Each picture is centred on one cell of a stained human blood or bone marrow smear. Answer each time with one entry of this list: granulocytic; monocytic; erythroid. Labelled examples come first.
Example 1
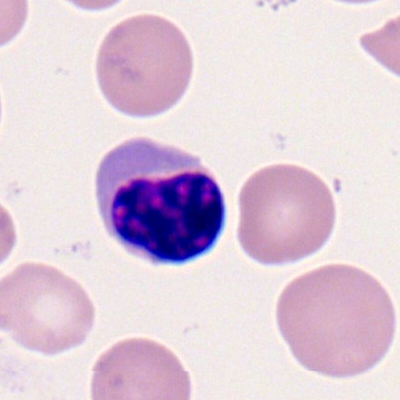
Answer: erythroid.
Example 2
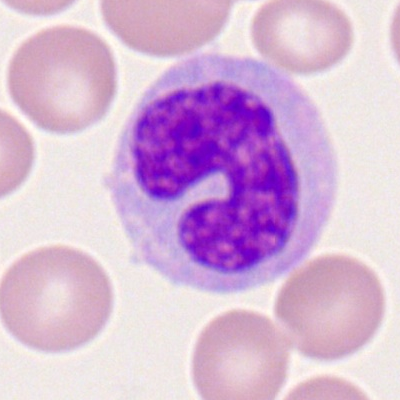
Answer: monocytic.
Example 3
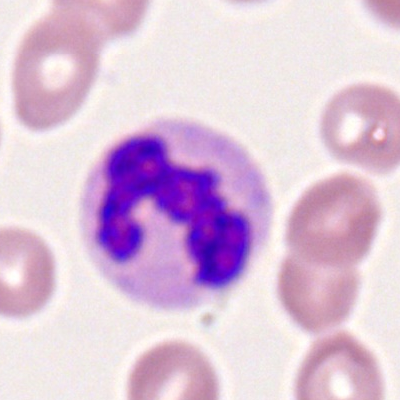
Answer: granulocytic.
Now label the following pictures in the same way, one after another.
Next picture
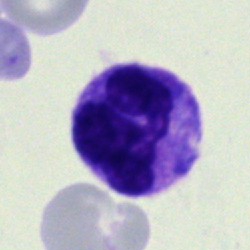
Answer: monocytic.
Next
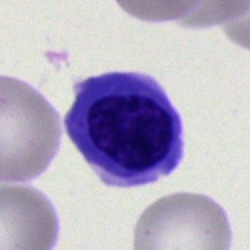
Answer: erythroid.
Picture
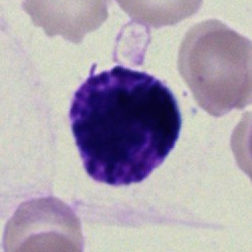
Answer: granulocytic.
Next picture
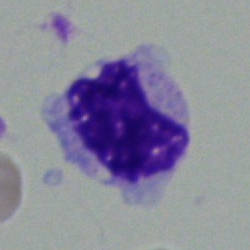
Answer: granulocytic.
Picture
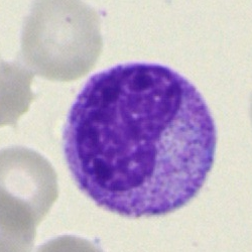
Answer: granulocytic.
